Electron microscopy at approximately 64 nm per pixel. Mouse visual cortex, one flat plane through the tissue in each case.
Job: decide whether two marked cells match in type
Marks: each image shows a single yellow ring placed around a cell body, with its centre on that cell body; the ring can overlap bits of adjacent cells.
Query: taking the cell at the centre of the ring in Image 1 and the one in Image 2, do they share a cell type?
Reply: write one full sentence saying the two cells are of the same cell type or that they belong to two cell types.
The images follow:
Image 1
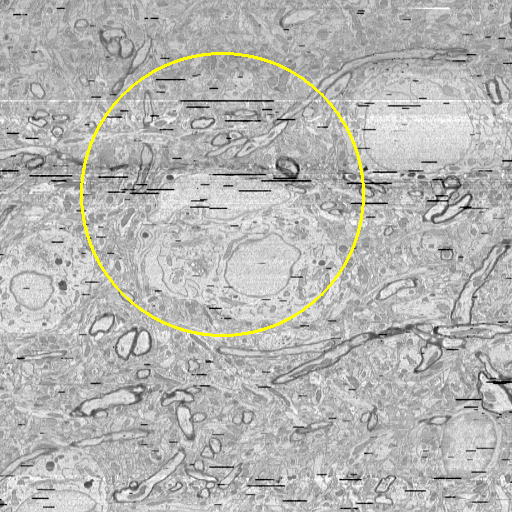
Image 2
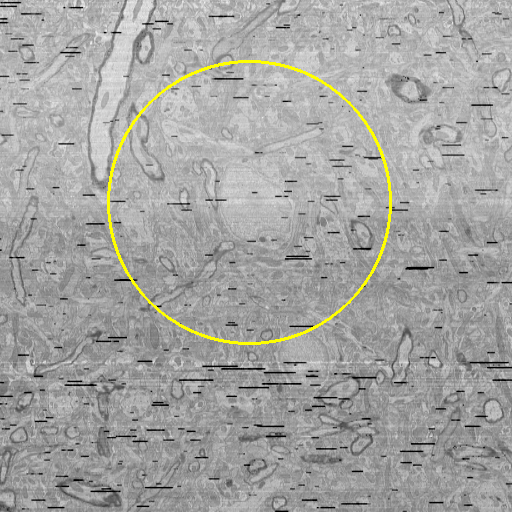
The cells at the ring centres in Image 1 and Image 2 are of the same cell type.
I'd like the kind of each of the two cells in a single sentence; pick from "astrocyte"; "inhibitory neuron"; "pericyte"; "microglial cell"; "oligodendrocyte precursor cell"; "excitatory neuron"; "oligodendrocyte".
Both rings mark an oligodendrocyte precursor cell, one in each picture.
